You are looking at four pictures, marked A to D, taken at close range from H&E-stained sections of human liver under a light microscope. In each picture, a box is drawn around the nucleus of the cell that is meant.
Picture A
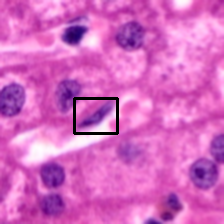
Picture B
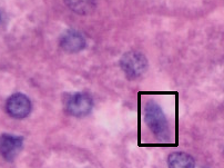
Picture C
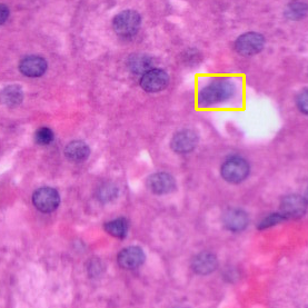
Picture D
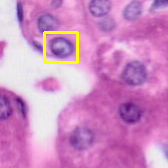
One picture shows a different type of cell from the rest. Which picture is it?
D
